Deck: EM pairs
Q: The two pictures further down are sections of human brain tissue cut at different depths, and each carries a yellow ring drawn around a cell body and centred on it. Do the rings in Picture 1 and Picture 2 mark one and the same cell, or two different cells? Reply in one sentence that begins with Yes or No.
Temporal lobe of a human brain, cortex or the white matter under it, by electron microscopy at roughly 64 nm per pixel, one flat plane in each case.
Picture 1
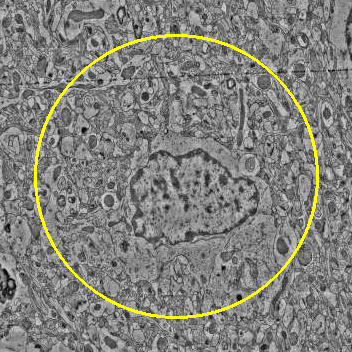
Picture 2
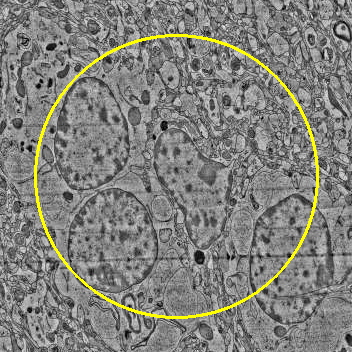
No, the rings do not mark the same cell.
